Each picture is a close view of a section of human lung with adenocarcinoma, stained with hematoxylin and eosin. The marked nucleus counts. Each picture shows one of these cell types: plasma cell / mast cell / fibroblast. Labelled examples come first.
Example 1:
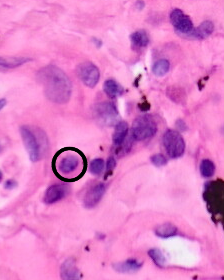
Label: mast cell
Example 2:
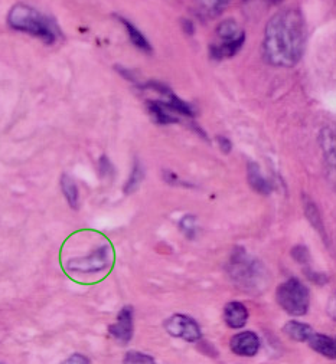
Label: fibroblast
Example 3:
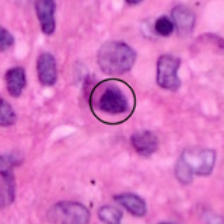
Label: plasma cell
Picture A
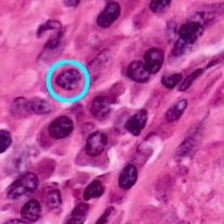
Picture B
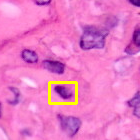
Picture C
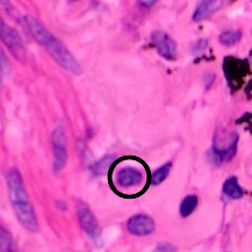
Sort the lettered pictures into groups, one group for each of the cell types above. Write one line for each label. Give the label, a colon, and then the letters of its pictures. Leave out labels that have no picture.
mast cell: A, B, C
